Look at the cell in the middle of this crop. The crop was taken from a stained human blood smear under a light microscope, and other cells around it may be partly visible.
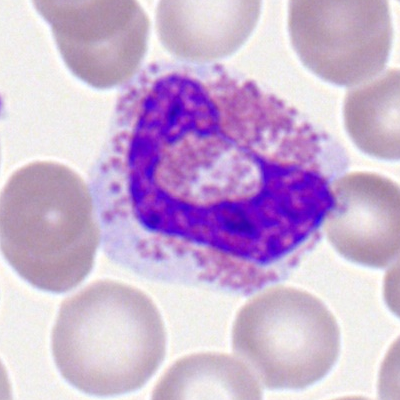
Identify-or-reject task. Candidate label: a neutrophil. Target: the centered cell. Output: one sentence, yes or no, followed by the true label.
No, this cell in the middle is an eosinophil, so it is not a neutrophil.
